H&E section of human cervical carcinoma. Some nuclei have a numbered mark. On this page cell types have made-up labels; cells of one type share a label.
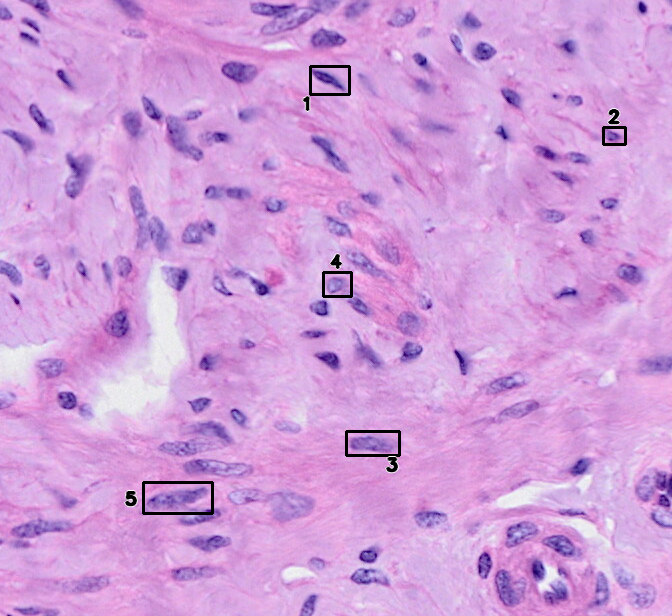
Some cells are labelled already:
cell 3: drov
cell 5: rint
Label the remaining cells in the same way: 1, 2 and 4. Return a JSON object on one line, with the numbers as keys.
{"1": "drov", "2": "rint", "4": "rint"}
